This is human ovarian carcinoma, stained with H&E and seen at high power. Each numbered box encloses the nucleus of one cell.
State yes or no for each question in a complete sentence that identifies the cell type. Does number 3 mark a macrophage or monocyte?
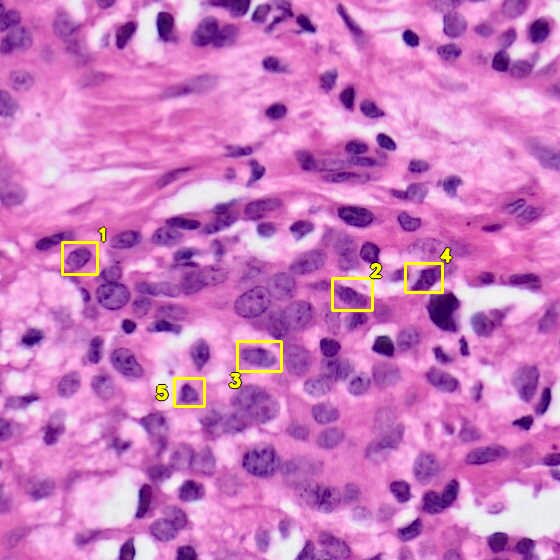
Yes, the cell with the mark numbered 3 is a macrophage or monocyte.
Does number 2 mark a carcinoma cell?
Yes, the one with the number 2 is a carcinoma cell.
